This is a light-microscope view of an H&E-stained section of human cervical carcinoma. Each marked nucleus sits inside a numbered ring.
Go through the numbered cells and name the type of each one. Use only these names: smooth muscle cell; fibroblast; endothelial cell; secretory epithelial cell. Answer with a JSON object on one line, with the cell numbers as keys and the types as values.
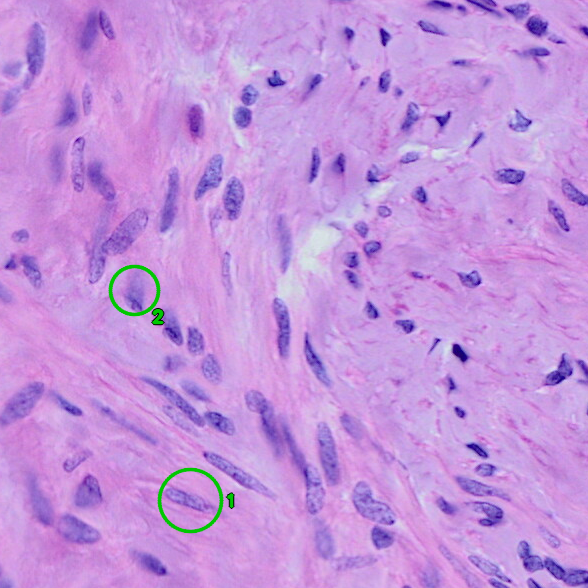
{"1": "smooth muscle cell", "2": "fibroblast"}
